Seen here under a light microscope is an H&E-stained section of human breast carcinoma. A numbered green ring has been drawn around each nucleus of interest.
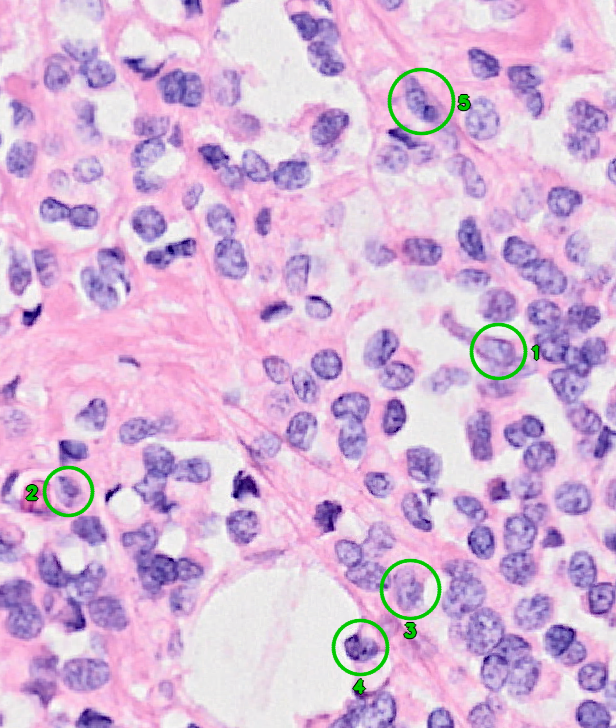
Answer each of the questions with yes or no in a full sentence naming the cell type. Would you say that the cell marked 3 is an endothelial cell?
No, the cell indicated by 3 is a carcinoma cell instead of an endothelial cell.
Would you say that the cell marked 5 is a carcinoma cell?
No, number 5 does not mark a carcinoma cell; it marks an endothelial cell.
